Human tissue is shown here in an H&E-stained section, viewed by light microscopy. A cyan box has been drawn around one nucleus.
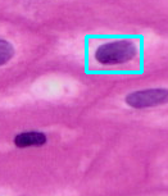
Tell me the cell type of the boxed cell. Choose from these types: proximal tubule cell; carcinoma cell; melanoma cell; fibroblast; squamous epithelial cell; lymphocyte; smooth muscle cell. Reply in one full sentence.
As for its identity, the boxed cell is a squamous epithelial cell.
